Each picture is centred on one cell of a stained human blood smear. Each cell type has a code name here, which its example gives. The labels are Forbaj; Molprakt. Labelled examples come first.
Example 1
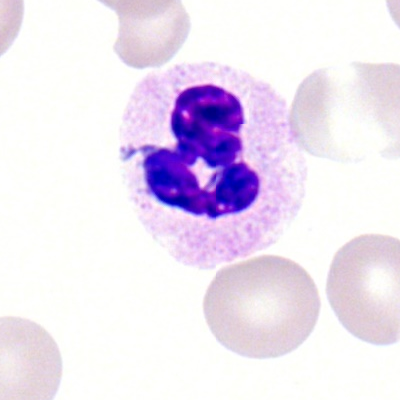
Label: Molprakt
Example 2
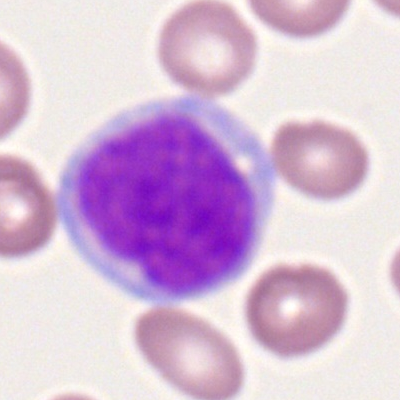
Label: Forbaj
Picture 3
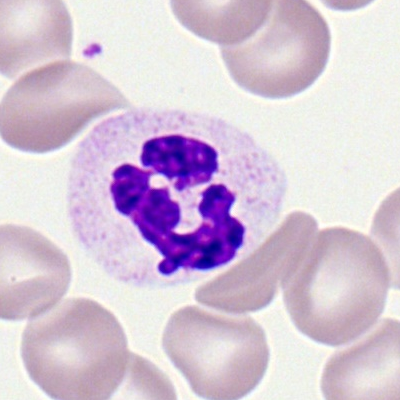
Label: Molprakt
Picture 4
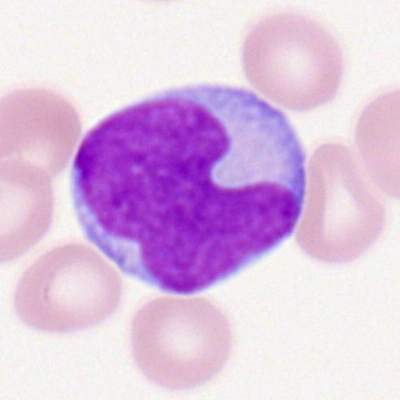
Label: Forbaj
